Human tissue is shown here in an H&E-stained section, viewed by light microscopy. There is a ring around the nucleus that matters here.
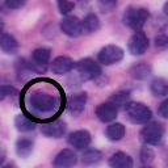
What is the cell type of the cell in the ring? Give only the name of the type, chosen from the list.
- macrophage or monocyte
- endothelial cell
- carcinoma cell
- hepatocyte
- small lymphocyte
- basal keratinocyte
small lymphocyte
